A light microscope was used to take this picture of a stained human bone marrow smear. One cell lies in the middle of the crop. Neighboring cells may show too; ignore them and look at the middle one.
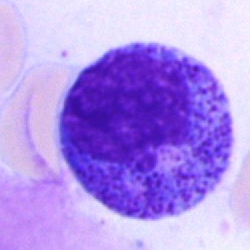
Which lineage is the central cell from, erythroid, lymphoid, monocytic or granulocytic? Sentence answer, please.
Our central cell here is part of the granulocytic lineage.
